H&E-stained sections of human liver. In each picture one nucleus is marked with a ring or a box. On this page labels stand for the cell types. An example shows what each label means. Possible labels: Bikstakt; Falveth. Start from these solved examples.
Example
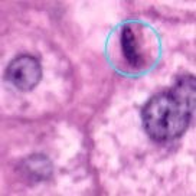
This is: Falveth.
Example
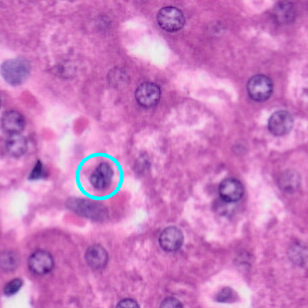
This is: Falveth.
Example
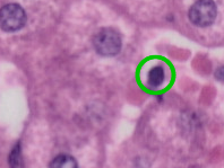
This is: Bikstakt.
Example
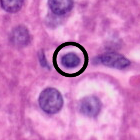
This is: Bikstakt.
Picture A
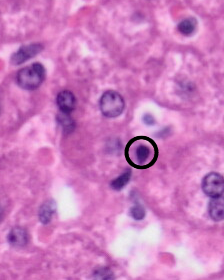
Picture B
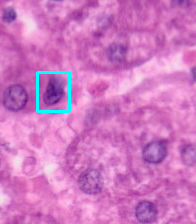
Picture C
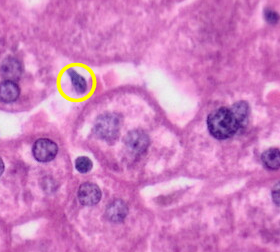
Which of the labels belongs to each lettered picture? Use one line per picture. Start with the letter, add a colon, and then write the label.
A: Falveth.
B: Falveth.
C: Bikstakt.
